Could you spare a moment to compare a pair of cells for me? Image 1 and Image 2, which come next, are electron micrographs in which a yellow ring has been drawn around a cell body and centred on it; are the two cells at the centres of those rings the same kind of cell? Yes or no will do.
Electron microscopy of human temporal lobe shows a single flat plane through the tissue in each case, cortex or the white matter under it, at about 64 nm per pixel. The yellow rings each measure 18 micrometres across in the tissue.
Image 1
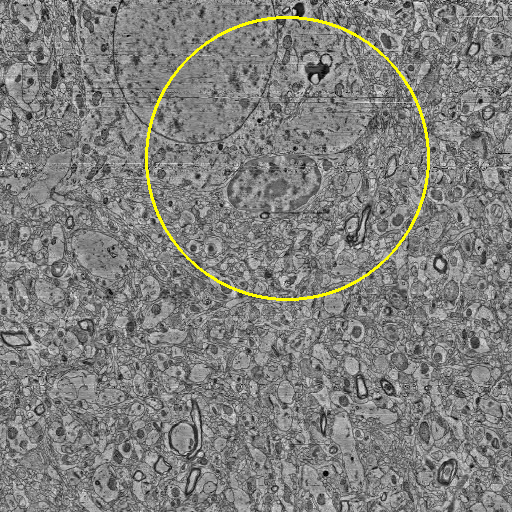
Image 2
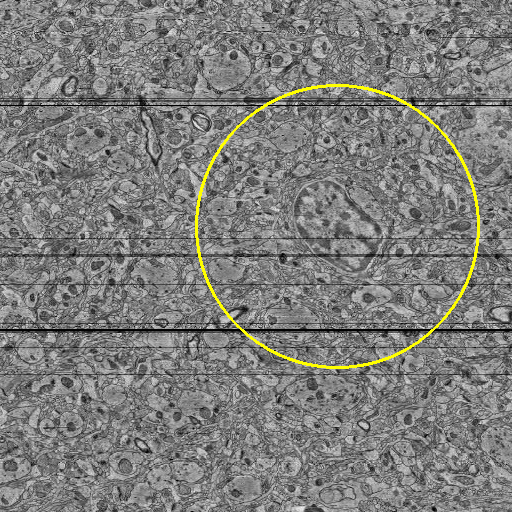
yes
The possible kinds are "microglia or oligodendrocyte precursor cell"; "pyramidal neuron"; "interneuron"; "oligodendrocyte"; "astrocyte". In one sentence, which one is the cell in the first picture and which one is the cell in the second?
In each picture the ringed cell is a microglial cell or oligodendrocyte precursor cell.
